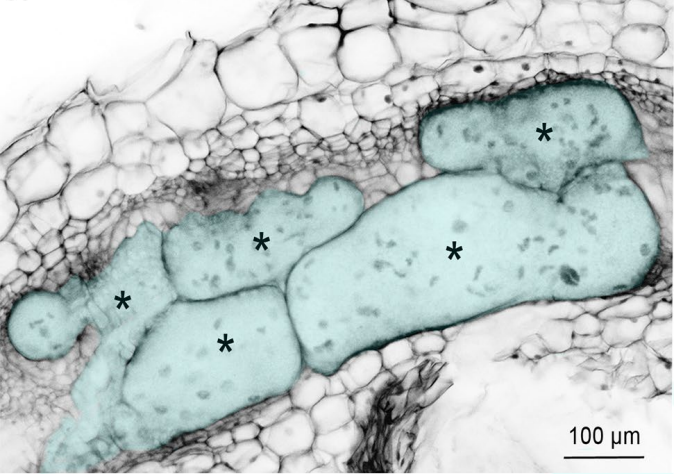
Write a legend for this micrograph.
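The giant cells are irregular, lobed and many times the diameter of their neighbours; they press against one another and fill a broad band of the tissue. Their cytoplasm is dense and contains numerous small dark rounded or elongated bodies scattered throughout. The surrounding cells, above and below the cluster, are small, polygonal, thin-walled and appear empty, forming a loose parenchyma-like layer that encloses the enlarged cells.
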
